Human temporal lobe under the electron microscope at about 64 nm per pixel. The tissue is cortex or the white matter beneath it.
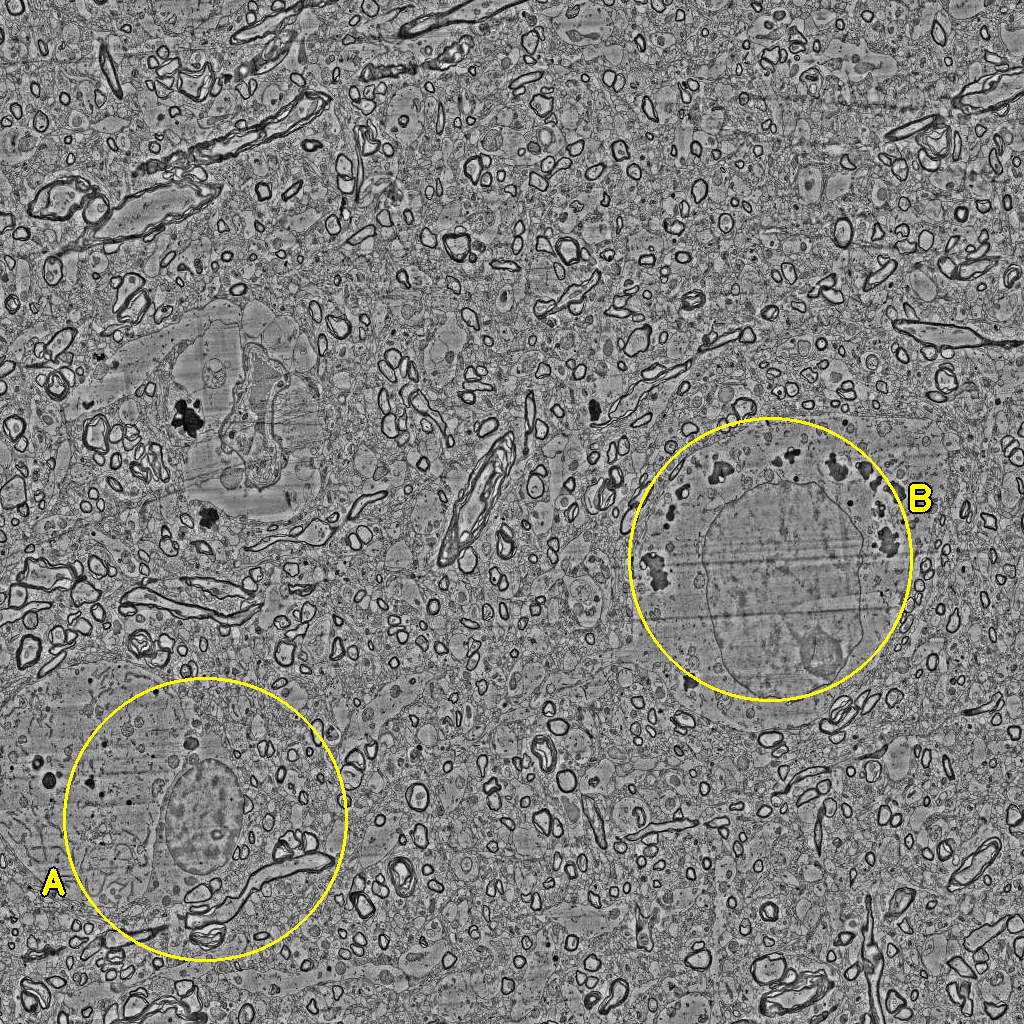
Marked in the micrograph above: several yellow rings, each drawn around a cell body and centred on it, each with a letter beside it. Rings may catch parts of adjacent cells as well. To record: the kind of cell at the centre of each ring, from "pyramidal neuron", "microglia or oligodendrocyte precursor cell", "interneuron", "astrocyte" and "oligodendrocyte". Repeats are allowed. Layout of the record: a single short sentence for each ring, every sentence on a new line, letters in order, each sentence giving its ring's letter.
At the centre of ring A lies an oligodendrocyte.
At the centre of ring B lies a pyramidal neuron.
